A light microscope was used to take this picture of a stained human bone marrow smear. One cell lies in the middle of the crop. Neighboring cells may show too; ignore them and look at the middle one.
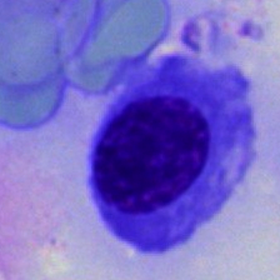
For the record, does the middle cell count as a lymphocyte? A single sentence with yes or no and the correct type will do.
No, the central cell is reported as a normoblast rather than as a lymphocyte.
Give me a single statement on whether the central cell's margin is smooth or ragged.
As for its outline, the cell is irregular, ragged or drawn into projections.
